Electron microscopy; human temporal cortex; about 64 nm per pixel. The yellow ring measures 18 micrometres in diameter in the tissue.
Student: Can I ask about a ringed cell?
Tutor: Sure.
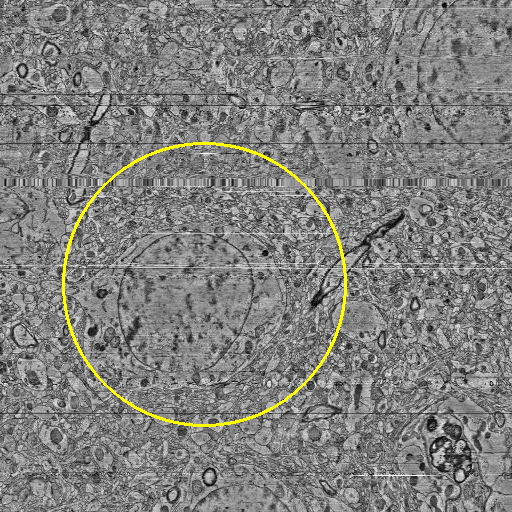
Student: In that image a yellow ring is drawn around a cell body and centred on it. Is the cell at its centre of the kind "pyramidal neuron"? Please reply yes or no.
Yes, the cell is of that kind.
